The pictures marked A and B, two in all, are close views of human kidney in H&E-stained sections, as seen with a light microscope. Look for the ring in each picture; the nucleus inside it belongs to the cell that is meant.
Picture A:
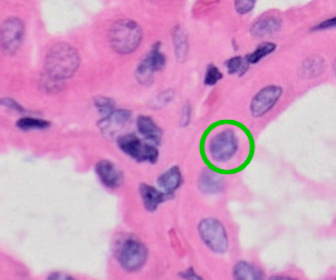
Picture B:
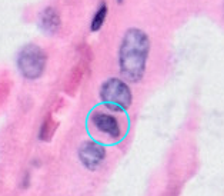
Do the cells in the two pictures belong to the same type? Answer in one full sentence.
No; the cell in picture A is a “loop of Henle or distal tubule cell”, while the one in picture B is a collecting duct cell.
